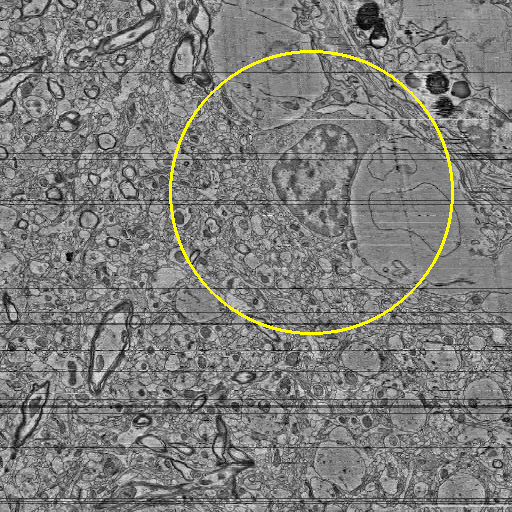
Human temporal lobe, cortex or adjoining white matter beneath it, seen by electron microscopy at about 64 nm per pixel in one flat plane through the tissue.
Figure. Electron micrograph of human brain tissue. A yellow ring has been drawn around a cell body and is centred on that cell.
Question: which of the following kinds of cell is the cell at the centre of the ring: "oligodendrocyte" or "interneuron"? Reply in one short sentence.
The cell at the centre of the ring is an oligodendrocyte.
